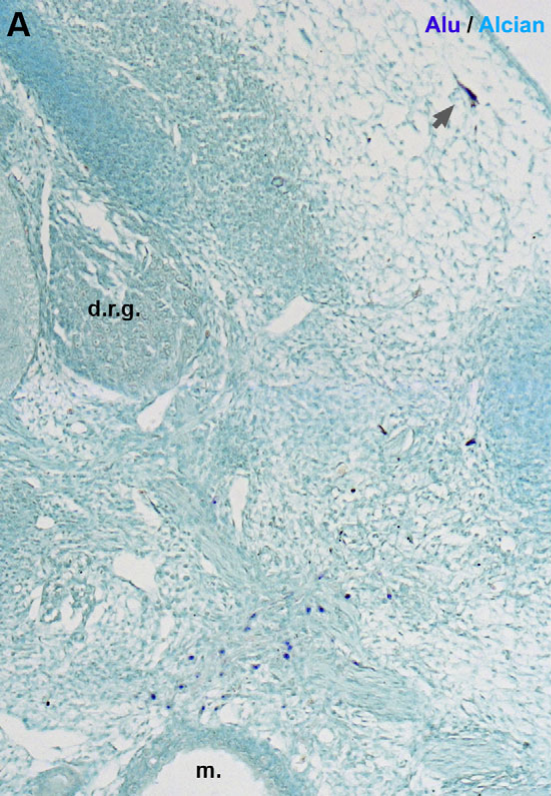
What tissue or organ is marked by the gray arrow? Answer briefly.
dermis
